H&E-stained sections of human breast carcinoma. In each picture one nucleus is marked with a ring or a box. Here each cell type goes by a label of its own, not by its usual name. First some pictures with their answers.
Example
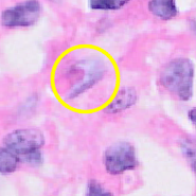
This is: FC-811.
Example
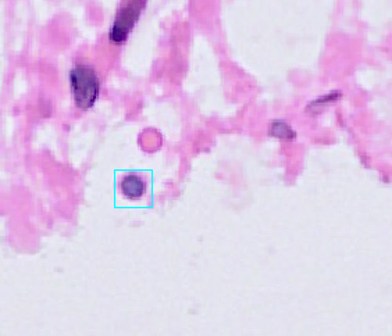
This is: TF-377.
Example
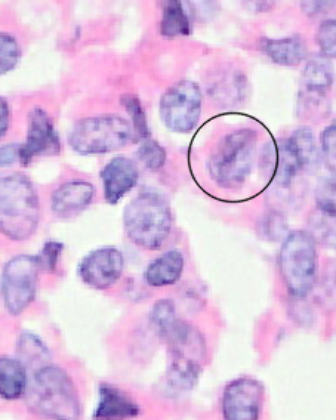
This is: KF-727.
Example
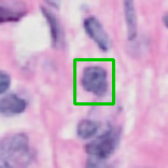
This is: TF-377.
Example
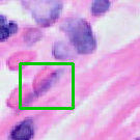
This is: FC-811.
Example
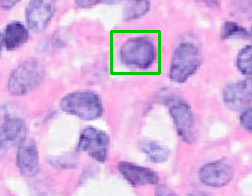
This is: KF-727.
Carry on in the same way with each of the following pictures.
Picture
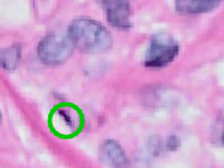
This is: FC-811.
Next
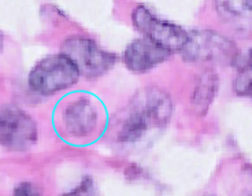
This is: KF-727.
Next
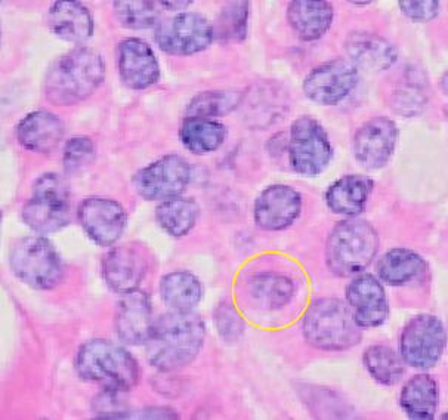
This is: KF-727.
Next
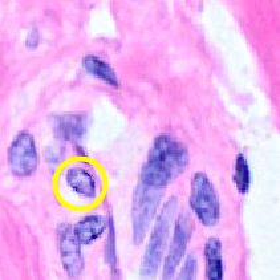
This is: FC-811.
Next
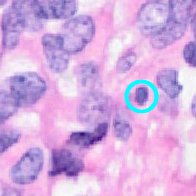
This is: TF-377.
